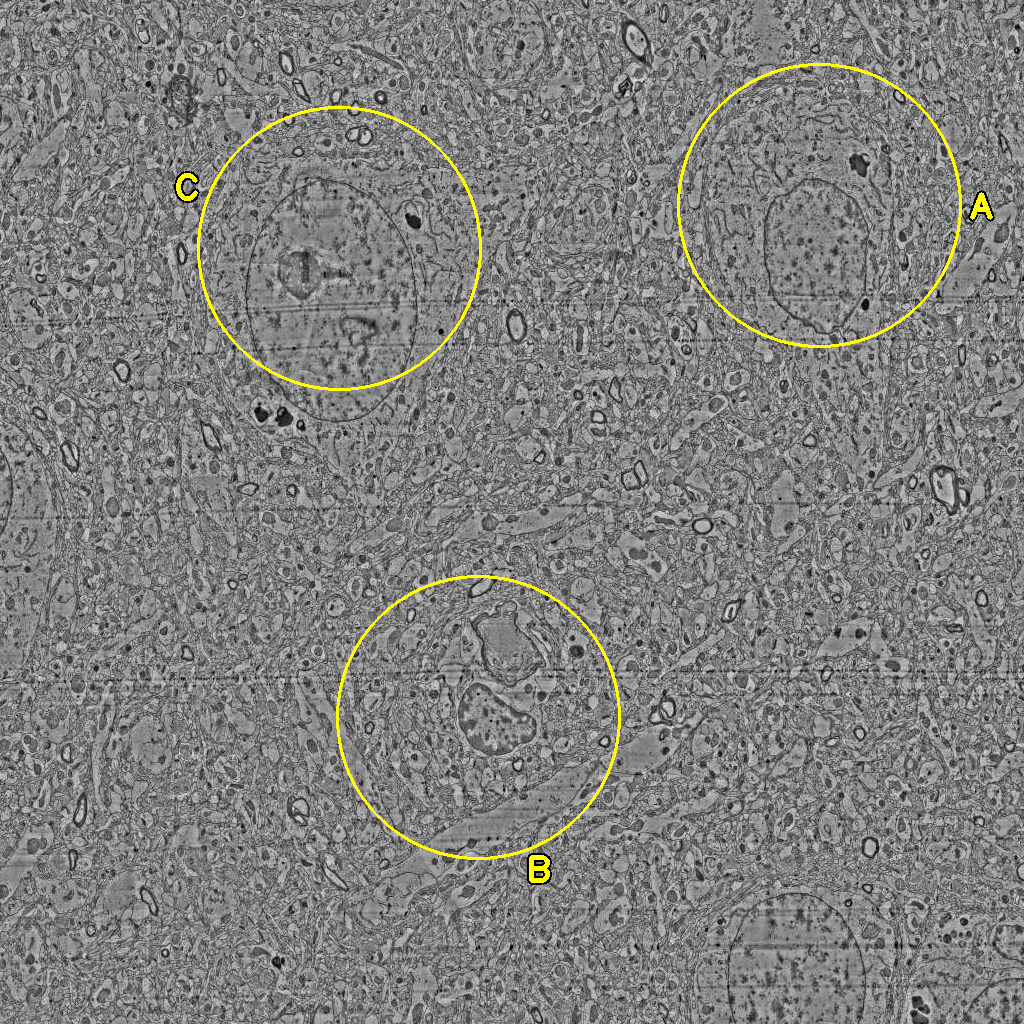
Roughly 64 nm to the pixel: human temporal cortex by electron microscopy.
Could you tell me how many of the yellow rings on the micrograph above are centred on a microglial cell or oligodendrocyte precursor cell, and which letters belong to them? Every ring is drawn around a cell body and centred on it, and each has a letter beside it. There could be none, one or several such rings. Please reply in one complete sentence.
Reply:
There is a single ring with a microglial cell or oligodendrocyte precursor cell at its centre, and it is labelled B.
